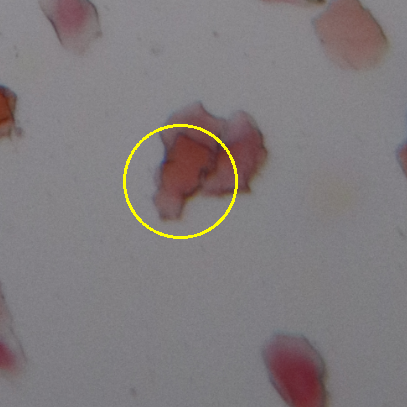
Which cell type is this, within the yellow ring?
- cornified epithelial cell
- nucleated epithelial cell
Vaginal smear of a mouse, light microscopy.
Within the ring is a cornified epithelial cell.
